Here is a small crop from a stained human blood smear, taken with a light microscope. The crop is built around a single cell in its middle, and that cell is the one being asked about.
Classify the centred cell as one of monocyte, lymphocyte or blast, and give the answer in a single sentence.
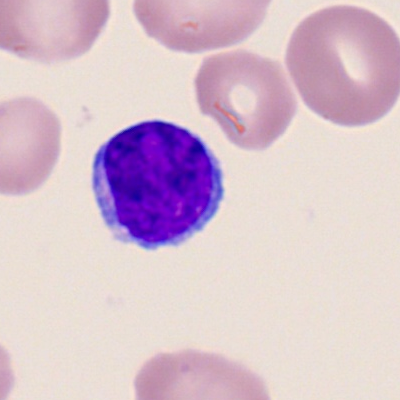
The cell that lies at the centre of the crop is a lymphocyte.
